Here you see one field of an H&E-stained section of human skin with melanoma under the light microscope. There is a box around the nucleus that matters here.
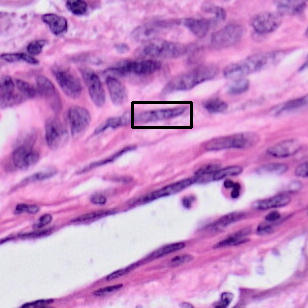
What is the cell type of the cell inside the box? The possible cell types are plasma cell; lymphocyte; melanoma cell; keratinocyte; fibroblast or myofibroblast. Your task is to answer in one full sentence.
By its classification, the cell inside the box is a fibroblast or myofibroblast.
